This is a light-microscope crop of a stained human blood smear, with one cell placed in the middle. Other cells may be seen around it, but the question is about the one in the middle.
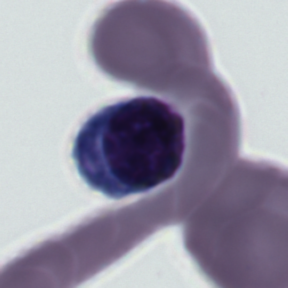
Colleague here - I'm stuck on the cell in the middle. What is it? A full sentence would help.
The centrally placed cell is classified as a plasma cell.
